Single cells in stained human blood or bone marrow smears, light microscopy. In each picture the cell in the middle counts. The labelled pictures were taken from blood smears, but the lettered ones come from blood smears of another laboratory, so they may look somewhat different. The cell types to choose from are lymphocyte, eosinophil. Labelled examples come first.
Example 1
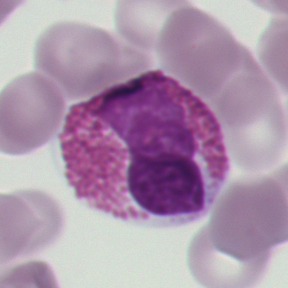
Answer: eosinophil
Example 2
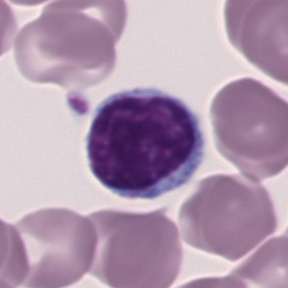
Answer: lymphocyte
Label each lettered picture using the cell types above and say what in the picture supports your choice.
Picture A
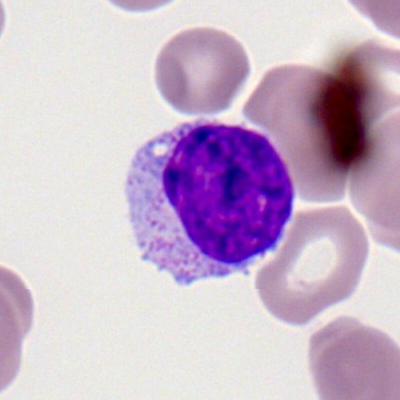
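lymphocyte. Evidence: Fine pinkish-purple granules are scattered through the cytoplasm.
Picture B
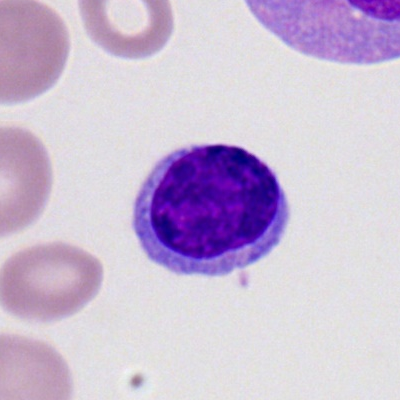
lymphocyte. Evidence: A scant rim of pale lilac-blue cytoplasm surrounds the nucleus, widest on the lower left.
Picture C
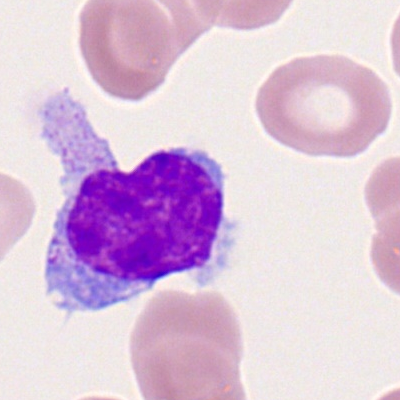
lymphocyte. Evidence: Fine purplish dots are scattered through the cytoplasm.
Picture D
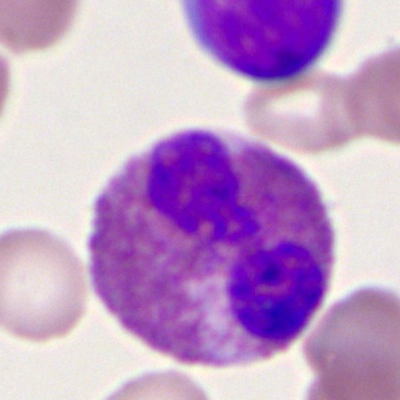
eosinophil. Evidence: The nucleus is split into two separate lobes.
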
